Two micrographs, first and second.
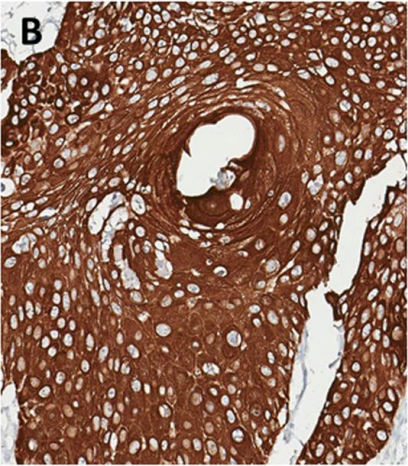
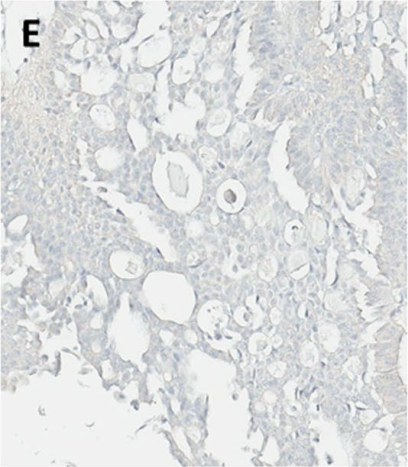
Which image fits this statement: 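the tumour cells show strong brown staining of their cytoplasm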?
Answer: The first image.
